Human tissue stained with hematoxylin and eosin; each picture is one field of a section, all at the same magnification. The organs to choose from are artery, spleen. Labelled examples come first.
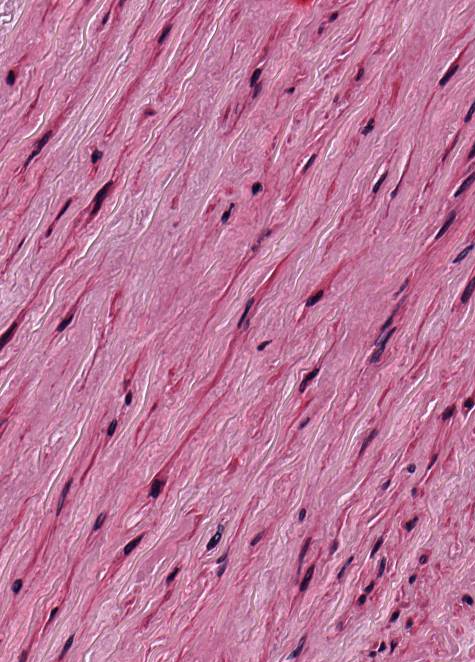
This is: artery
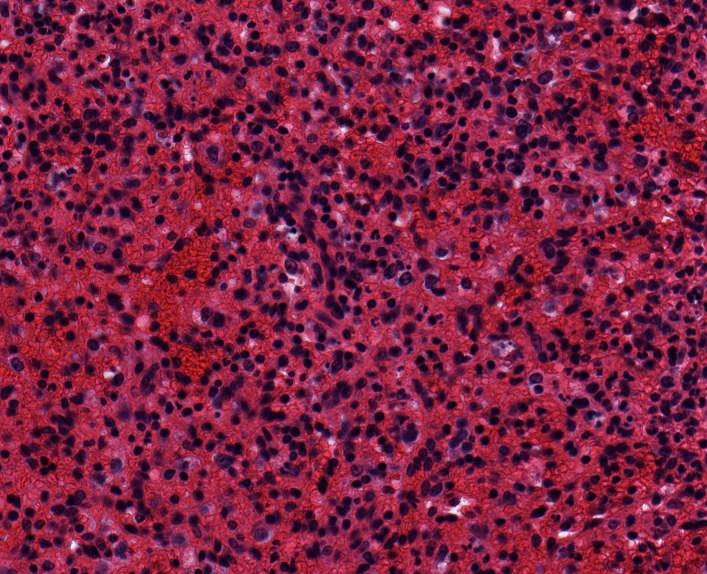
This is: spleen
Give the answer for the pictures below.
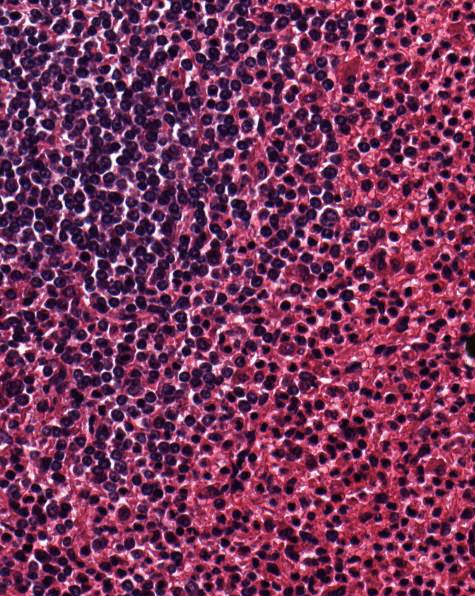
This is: spleen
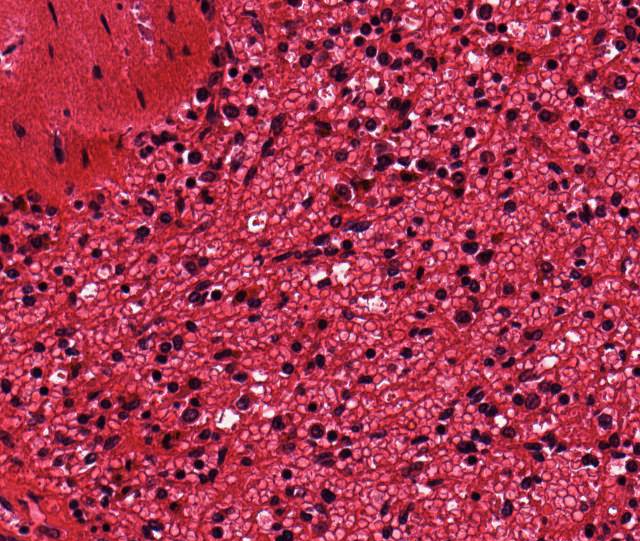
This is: spleen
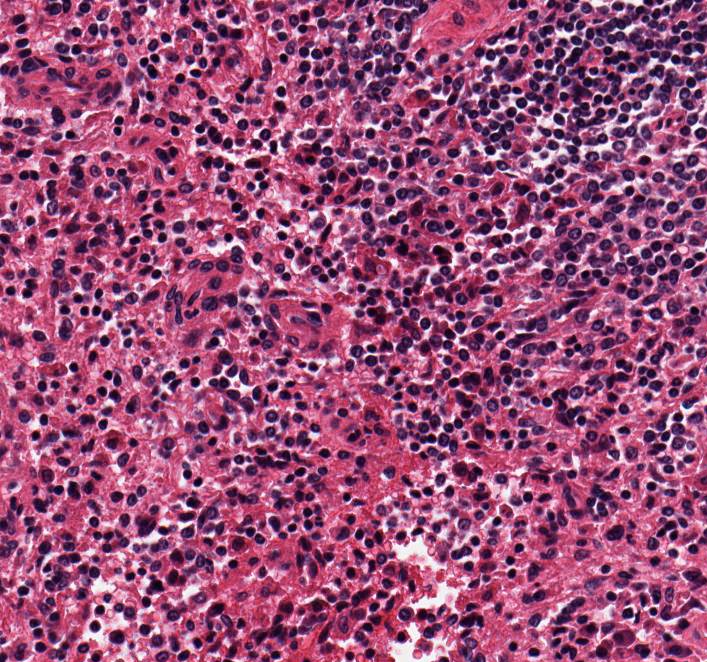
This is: spleen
